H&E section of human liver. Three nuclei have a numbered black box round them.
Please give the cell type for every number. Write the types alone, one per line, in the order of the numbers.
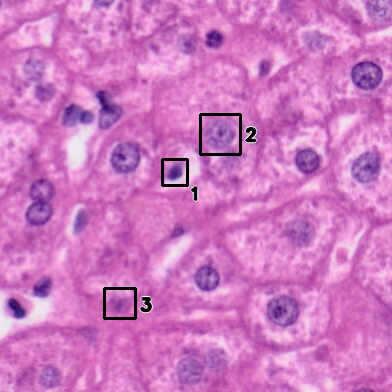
lymphocyte
hepatocyte
hepatocyte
